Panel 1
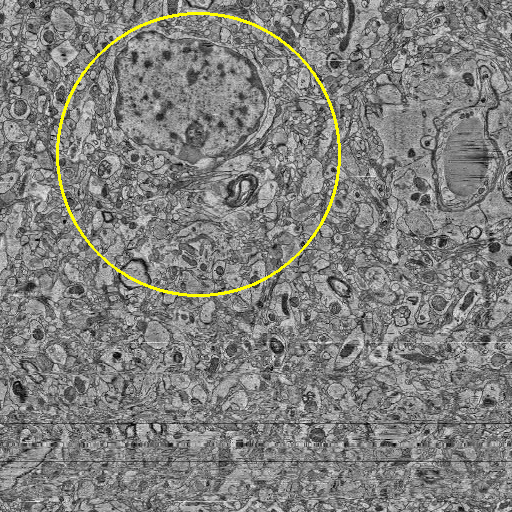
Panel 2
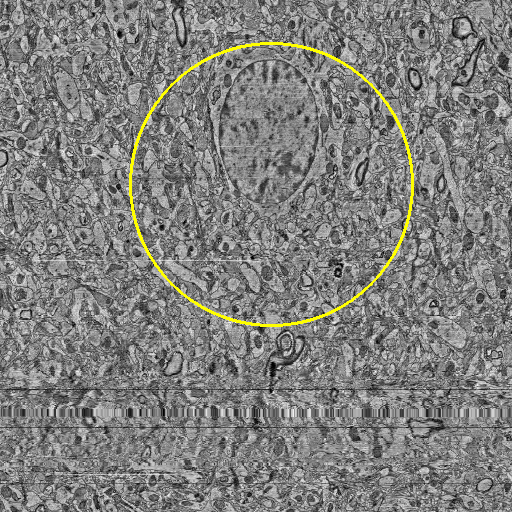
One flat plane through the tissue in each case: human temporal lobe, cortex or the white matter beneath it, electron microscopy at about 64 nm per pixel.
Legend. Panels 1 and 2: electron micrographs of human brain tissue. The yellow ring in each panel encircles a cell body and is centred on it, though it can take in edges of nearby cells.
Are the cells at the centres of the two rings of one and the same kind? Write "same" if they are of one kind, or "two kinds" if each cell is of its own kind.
two kinds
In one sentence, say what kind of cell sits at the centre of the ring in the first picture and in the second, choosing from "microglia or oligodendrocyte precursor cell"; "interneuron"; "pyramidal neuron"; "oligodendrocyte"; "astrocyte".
The first picture's ringed cell is a microglial cell or oligodendrocyte precursor cell, while the second picture's is an astrocyte.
